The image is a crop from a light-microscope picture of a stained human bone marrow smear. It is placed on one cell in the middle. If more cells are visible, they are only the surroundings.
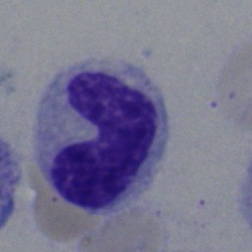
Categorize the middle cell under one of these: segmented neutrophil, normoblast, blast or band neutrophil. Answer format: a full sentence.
The cell in the middle of the field of view is a band neutrophil.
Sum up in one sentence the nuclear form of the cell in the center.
Between us, the nucleus here is just one compact mass, round, oval or kidney-shaped.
